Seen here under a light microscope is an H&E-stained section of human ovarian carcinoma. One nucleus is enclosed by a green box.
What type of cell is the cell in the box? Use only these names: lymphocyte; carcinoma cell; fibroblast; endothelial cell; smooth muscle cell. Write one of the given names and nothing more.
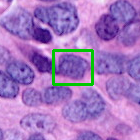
carcinoma cell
